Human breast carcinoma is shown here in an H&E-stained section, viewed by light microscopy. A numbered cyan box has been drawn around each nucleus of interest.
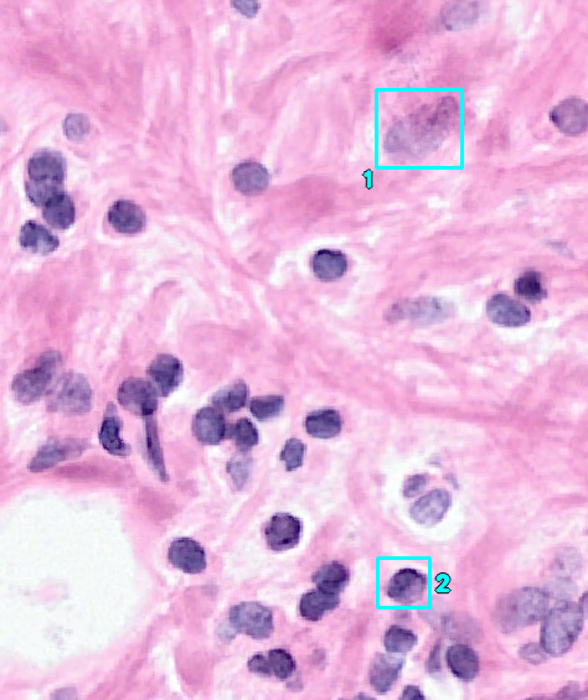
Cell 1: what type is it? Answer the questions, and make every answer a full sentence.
The nucleus marked 1 is the nucleus of a fibroblast.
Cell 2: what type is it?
Numbered cell 2 is a carcinoma cell in this tissue section.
